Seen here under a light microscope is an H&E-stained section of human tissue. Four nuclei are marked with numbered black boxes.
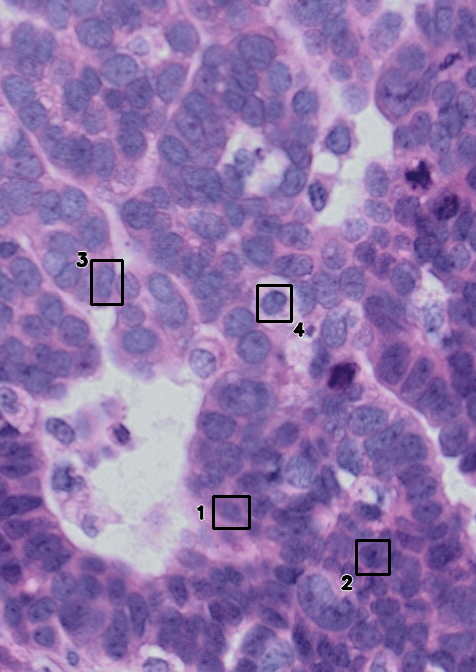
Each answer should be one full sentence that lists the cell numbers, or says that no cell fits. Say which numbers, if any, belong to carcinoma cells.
The cells assigned the numbers 1, 2 and 3 are carcinoma cells.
